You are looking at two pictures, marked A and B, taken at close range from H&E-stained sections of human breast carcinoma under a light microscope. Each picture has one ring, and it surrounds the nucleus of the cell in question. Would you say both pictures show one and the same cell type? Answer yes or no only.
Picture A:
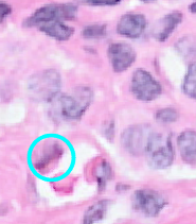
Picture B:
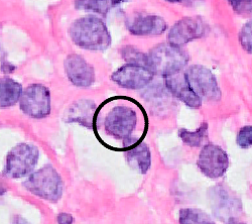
no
